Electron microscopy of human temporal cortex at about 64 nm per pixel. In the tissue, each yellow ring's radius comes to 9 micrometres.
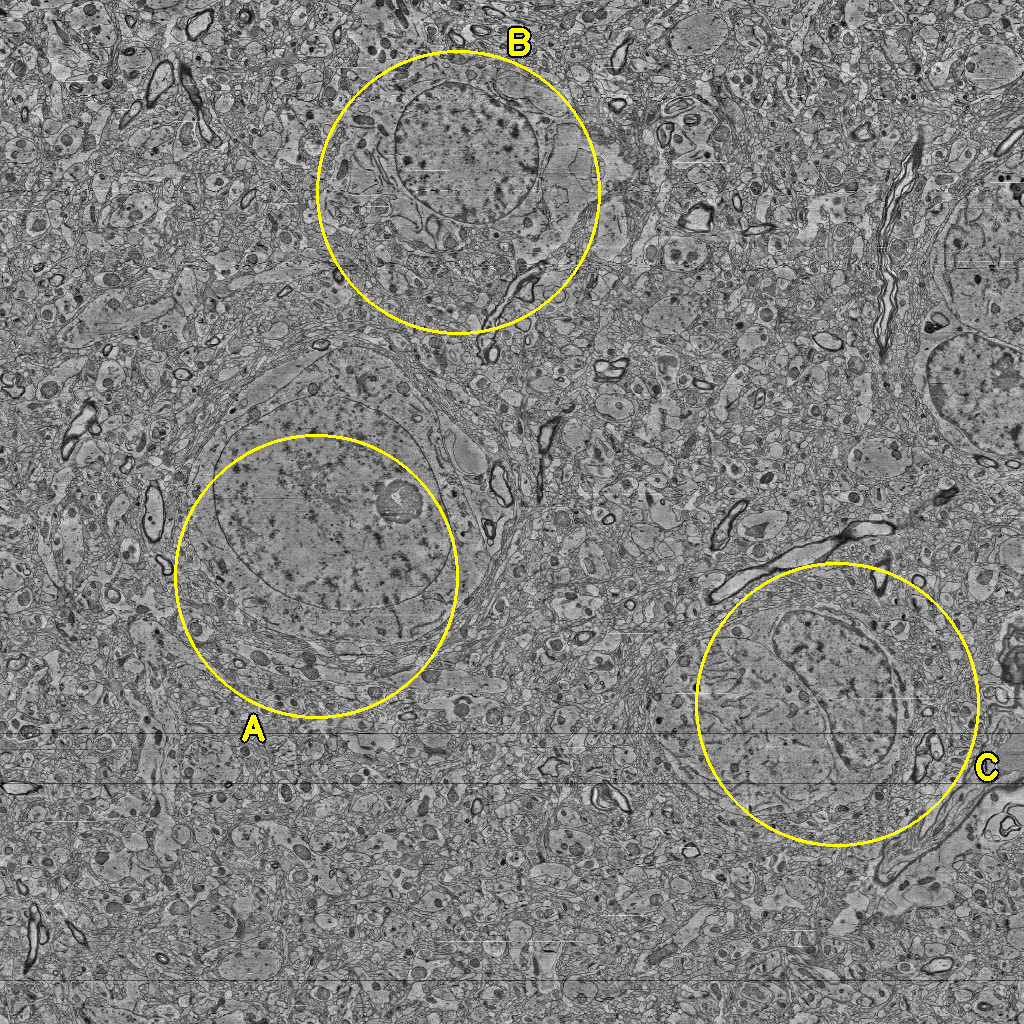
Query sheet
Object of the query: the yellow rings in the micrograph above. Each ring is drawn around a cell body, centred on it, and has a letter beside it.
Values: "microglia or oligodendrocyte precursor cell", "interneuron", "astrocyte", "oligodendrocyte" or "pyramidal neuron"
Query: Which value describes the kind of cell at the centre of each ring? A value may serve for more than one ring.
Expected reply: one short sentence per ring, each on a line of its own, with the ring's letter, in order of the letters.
I assign a pyramidal neuron to ring A.
I assign an astrocyte to ring B.
I assign a microglial cell or oligodendrocyte precursor cell to ring C.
